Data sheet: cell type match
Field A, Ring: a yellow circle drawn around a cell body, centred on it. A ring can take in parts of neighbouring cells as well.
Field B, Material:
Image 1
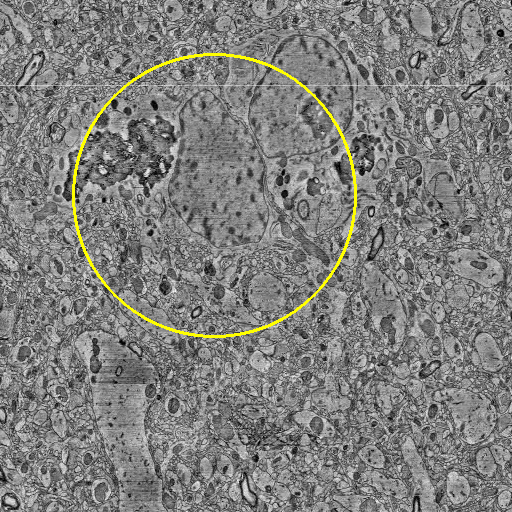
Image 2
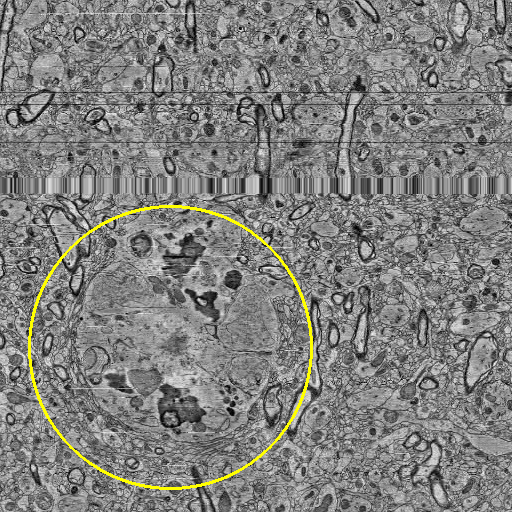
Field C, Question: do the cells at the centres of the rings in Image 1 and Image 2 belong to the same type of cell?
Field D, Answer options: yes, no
yes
